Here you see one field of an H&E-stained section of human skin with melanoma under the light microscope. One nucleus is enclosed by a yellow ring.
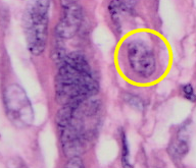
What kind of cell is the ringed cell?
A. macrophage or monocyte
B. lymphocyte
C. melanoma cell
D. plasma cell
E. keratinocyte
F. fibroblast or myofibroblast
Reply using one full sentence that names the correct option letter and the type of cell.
Option C gets it right: the ringed cell is a melanoma cell.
